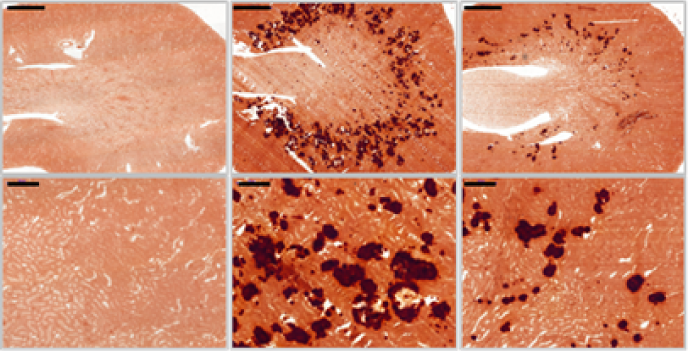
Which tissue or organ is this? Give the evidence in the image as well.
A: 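The tissue is made of many fine, closely packed tubular profiles. Lower images show tubule cross-sections at higher magnification.
Answer: kidney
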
